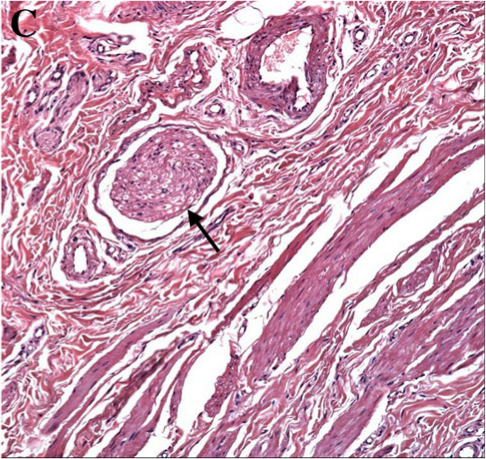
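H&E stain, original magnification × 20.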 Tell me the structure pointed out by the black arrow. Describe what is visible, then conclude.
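A rounded bundle of fine wavy fibres with small elongated nuclei. The bundle is wrapped in a thin sheath separated from surrounding tissue by a clear cleft. So: a nerve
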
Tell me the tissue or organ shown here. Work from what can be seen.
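Long, parallel, pink fascicles run diagonally across the lower right. The fascicles contain elongated, cigar-shaped nuclei. The answer: Smooth muscle bundles.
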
